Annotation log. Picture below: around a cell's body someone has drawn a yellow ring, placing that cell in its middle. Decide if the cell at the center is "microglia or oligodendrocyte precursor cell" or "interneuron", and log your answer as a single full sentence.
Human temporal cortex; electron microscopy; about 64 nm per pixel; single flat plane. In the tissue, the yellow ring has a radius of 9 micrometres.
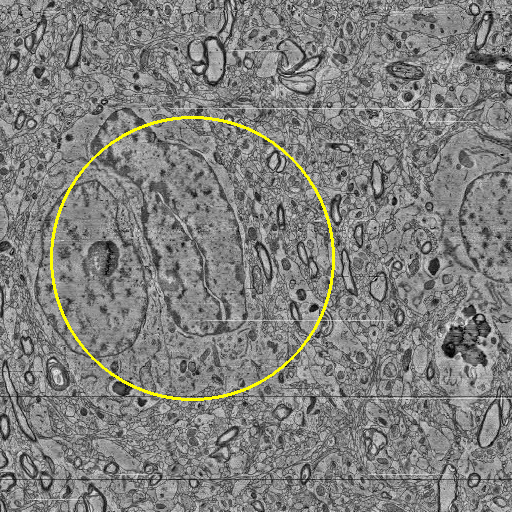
My entry records a microglial cell or oligodendrocyte precursor cell as the cell sitting at the center of the yellow ring.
